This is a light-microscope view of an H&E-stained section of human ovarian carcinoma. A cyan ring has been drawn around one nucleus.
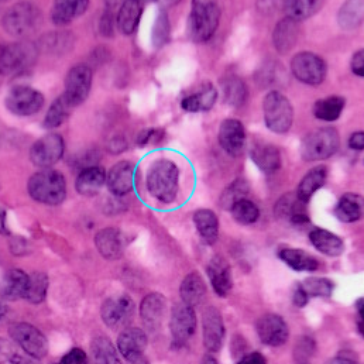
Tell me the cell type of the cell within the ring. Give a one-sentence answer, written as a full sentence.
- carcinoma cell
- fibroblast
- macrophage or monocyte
Recorded by type, the cell within the ring is a macrophage or monocyte.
